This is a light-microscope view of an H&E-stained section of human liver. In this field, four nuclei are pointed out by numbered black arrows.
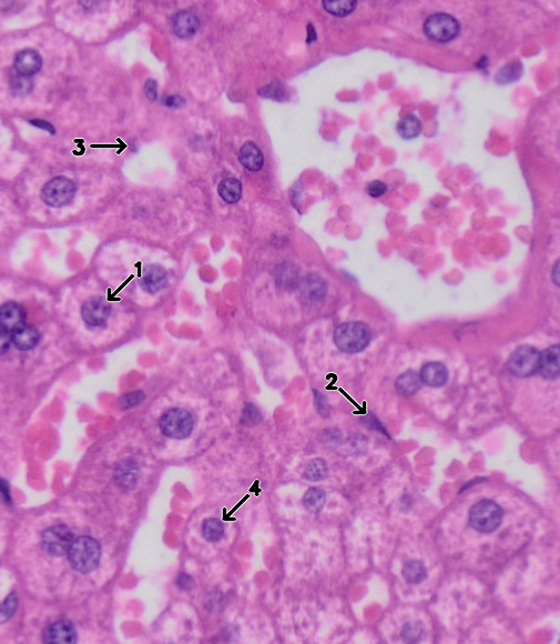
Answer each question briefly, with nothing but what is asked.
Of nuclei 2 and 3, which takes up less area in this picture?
3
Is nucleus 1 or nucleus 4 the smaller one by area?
4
